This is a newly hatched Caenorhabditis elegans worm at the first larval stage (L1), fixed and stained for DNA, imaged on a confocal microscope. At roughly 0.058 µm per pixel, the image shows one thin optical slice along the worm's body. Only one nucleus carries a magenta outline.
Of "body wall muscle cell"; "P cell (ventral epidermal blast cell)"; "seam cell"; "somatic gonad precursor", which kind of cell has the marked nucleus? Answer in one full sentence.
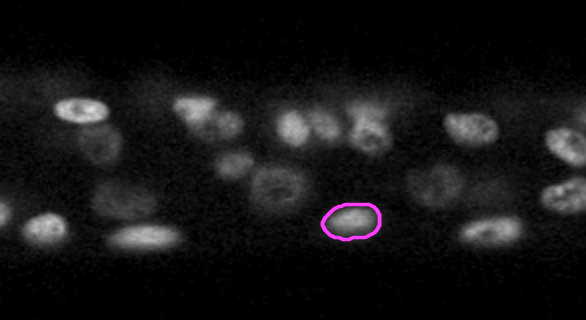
This nucleus is from a body wall muscle cell.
